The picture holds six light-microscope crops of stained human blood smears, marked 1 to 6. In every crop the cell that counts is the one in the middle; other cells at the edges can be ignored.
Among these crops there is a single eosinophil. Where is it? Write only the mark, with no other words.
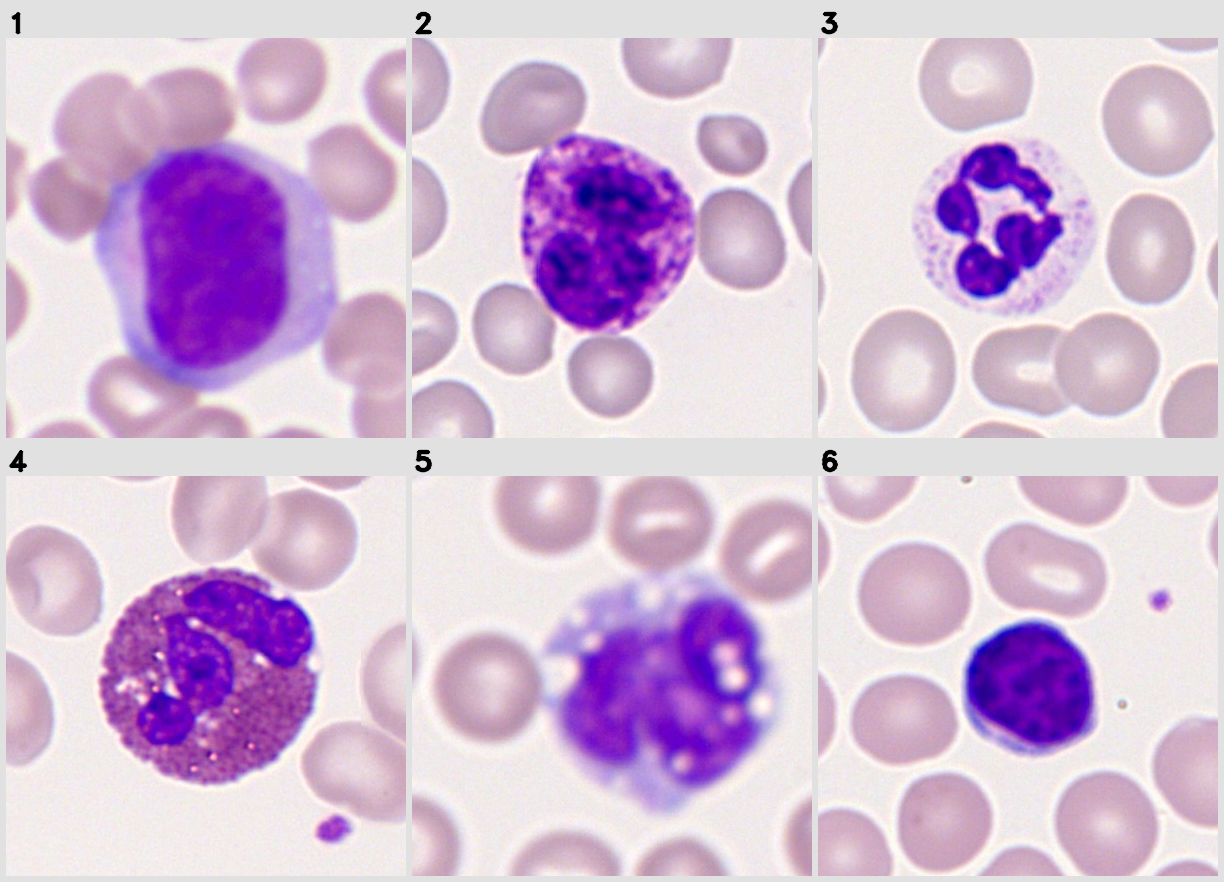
4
